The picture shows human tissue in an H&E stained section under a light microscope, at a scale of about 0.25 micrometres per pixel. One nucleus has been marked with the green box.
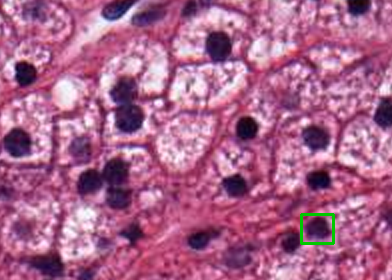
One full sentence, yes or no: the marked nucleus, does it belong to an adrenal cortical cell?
Yes, the marked nucleus sits in an adrenal cortical cell.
